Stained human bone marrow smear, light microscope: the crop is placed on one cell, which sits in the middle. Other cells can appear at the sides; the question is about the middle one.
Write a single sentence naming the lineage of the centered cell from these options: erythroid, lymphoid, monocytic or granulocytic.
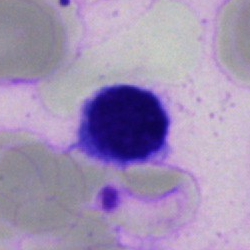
The cell in the middle of the crop is sorted into the lymphoid lineage.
